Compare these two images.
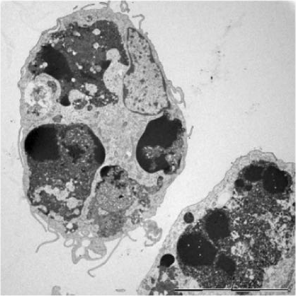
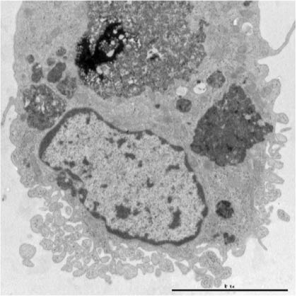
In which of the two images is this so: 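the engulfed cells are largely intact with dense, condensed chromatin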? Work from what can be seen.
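First image: several rounded enclosed bodies each hold large, very dark compact chromatin masses. On this evidence: the first image.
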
